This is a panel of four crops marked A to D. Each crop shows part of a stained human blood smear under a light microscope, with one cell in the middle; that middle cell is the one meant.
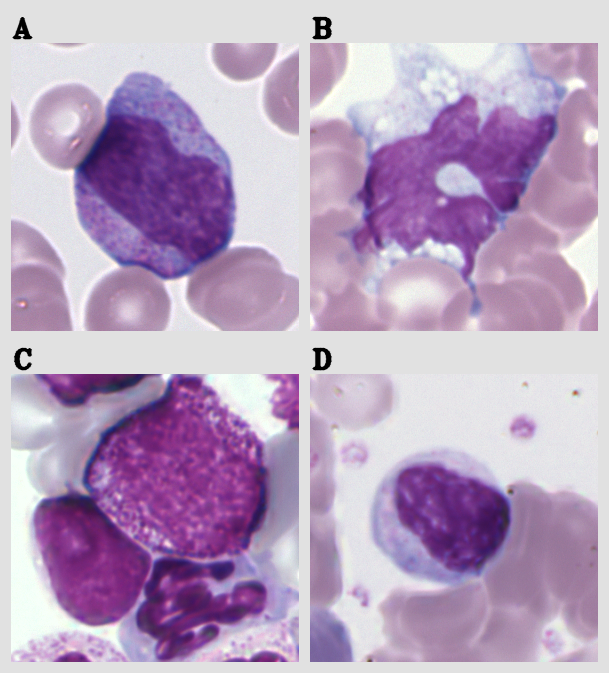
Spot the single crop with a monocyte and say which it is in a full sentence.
Of all the crops, crop B is the one showing a monocyte.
